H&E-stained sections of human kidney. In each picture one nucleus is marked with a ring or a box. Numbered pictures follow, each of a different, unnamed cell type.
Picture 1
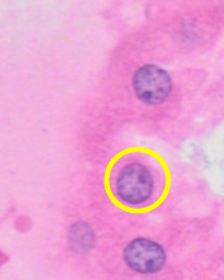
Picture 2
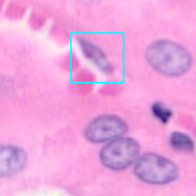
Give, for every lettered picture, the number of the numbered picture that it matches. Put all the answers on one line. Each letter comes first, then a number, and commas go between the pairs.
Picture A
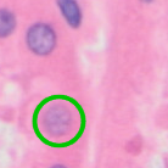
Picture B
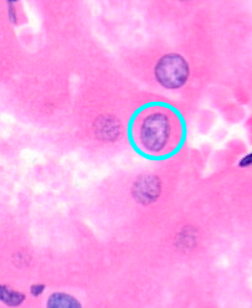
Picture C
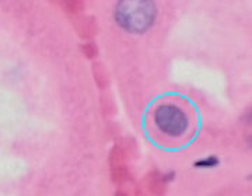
A 1, B 1, C 1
